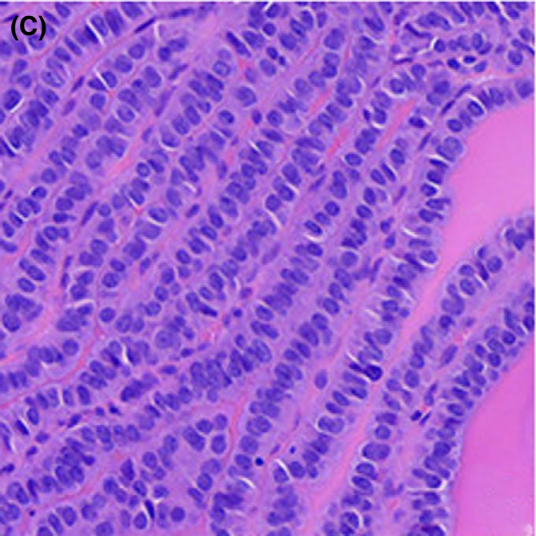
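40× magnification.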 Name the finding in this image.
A: Tall cell variant.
